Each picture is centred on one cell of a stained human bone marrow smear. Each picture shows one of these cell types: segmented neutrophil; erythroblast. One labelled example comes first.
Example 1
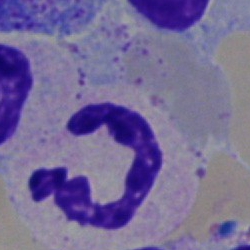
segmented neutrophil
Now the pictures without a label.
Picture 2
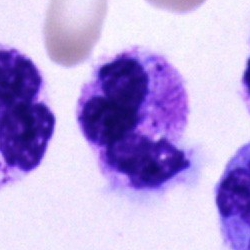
segmented neutrophil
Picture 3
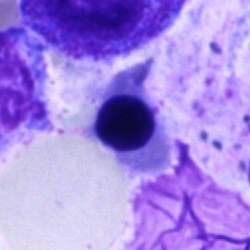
erythroblast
